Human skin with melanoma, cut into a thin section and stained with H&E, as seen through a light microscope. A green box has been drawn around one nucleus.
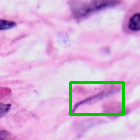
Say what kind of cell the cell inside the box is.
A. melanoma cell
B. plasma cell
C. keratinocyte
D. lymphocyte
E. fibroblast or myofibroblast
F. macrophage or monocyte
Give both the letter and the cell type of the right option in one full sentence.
It is correct to say that the cell inside the box is a fibroblast or myofibroblast, as option E does.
